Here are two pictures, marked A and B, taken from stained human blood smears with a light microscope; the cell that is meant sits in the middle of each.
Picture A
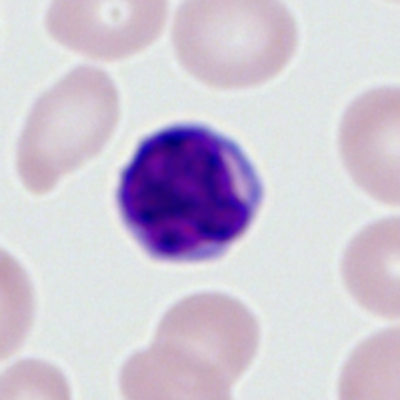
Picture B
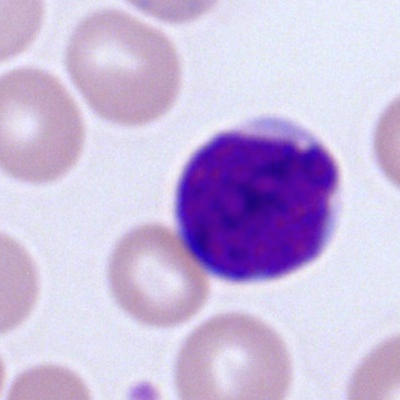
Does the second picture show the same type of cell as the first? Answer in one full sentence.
No, they differ: the cell is a lymphocyte in picture A and a myeloblast in picture B.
